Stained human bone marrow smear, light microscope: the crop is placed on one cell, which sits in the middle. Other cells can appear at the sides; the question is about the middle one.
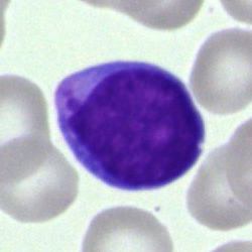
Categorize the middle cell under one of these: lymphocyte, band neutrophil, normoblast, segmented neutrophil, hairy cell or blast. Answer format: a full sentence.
The middle of this crop is occupied by a lymphocyte.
